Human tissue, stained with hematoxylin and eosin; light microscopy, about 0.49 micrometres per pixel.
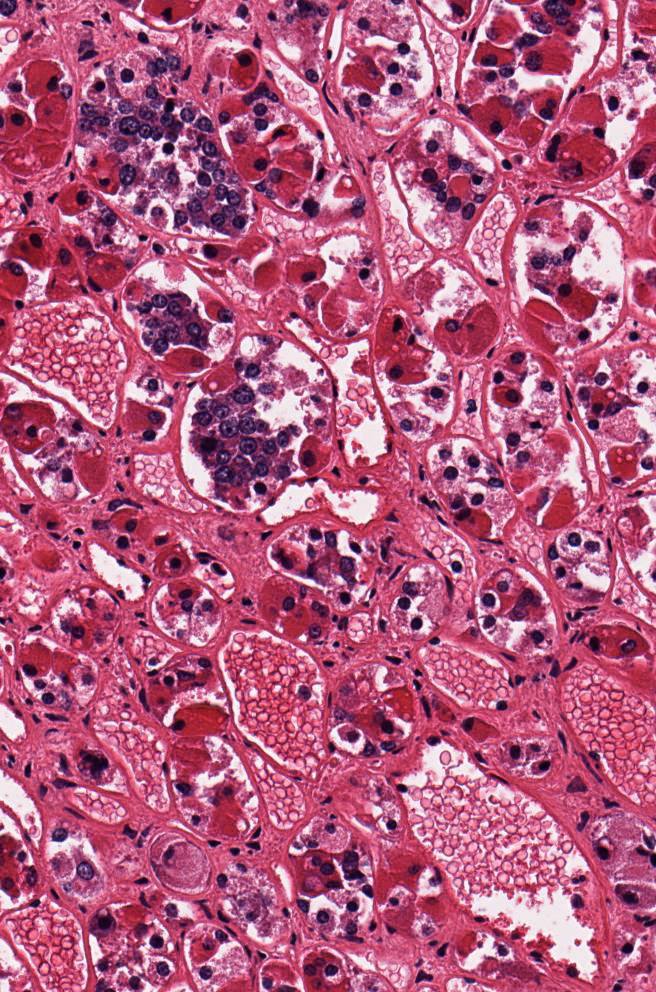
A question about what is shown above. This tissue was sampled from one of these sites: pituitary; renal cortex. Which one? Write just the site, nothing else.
pituitary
